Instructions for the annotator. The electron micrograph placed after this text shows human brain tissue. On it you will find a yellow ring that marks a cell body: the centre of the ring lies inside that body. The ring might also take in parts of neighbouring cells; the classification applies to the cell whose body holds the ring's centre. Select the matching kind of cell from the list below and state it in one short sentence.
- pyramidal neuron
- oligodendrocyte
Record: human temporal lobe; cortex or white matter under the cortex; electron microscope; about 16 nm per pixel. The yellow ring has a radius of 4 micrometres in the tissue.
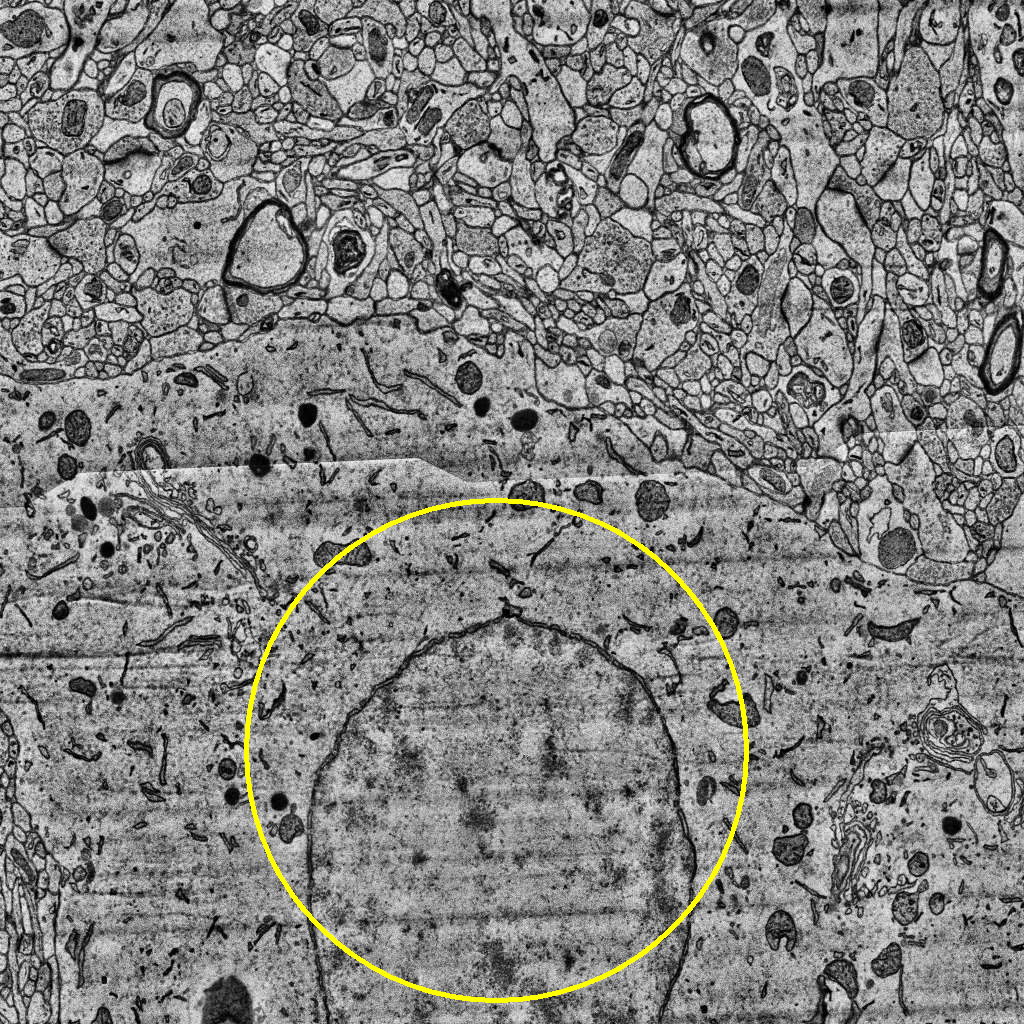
The centre of the ring lies in the cell body of a pyramidal neuron.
